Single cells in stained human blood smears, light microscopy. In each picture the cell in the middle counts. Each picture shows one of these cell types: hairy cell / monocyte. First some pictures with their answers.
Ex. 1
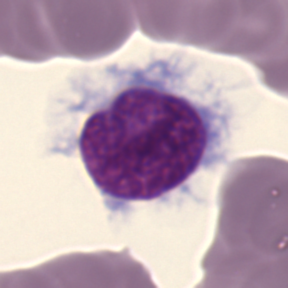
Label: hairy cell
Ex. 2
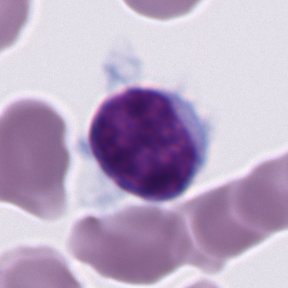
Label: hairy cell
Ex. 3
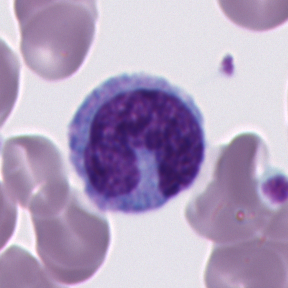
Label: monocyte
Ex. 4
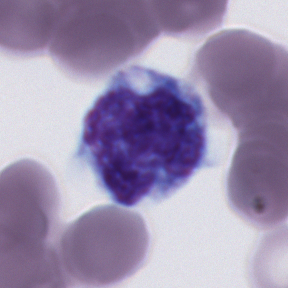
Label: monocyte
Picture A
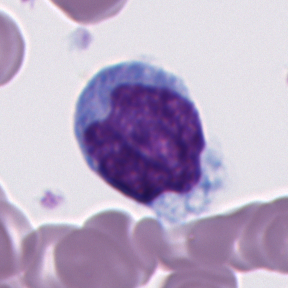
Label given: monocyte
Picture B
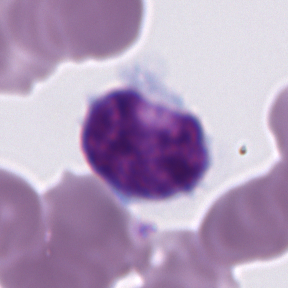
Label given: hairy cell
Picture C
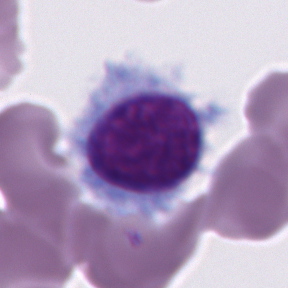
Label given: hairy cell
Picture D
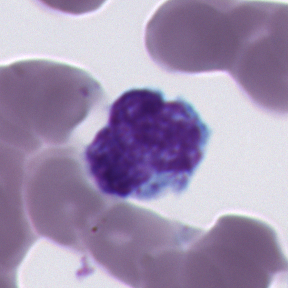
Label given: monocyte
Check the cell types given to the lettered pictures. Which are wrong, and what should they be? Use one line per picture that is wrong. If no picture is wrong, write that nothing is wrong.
None of the labels needs changing.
